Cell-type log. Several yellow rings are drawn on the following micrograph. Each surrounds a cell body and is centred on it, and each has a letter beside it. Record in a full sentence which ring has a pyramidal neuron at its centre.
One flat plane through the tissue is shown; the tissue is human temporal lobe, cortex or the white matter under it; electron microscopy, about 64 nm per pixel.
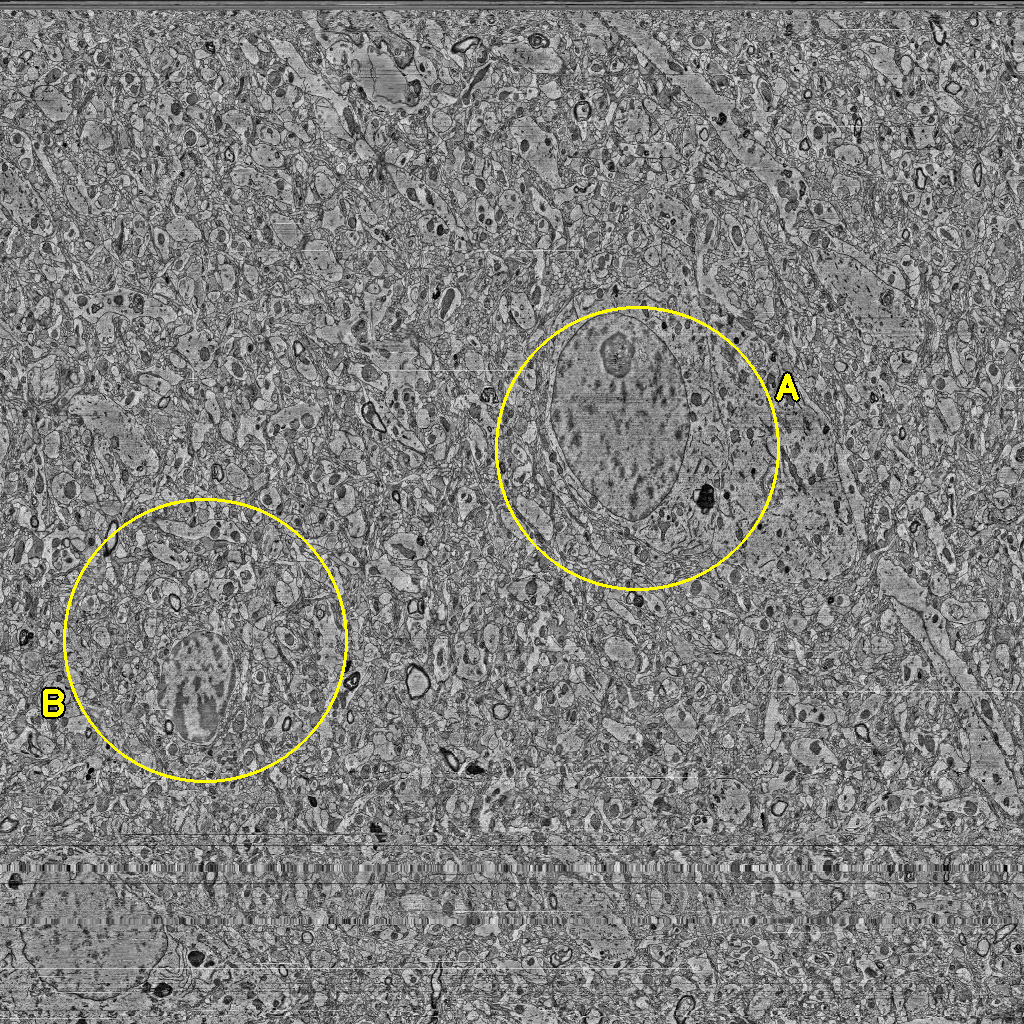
Ring A has it at its centre.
